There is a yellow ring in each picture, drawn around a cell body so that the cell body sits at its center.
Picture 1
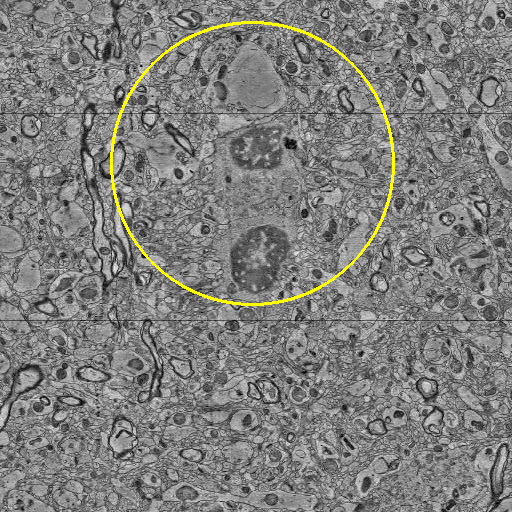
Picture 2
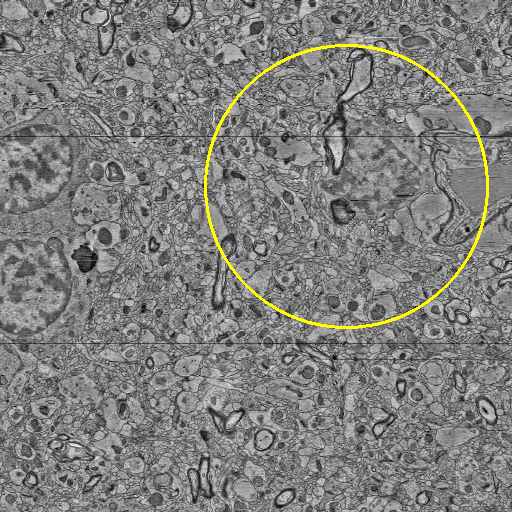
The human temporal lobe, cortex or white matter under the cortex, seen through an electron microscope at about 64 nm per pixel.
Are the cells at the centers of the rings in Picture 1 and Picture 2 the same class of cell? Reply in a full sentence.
Yes, the two cells are the same class of cell.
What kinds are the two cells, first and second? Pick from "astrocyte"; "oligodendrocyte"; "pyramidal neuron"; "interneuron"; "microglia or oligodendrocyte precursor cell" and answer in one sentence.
Both pictures show an oligodendrocyte at the centre of the ring.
